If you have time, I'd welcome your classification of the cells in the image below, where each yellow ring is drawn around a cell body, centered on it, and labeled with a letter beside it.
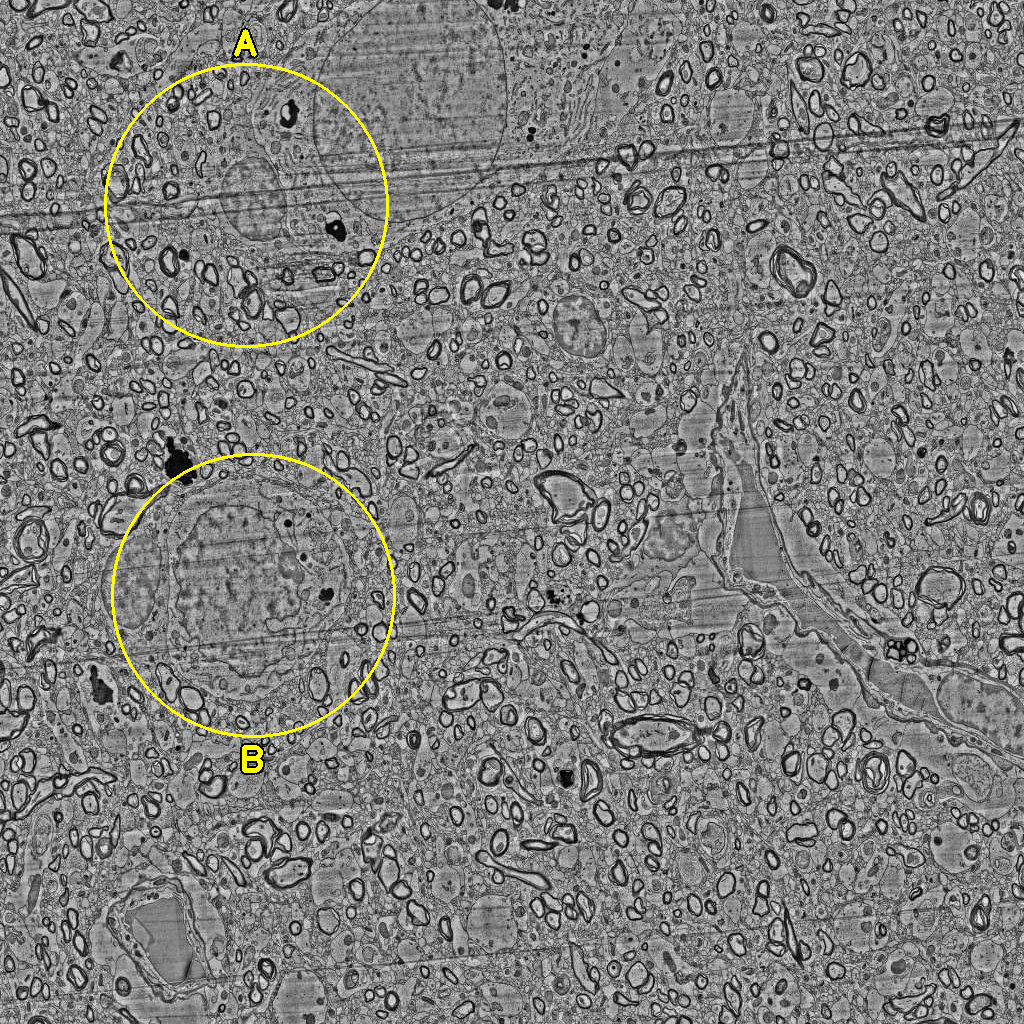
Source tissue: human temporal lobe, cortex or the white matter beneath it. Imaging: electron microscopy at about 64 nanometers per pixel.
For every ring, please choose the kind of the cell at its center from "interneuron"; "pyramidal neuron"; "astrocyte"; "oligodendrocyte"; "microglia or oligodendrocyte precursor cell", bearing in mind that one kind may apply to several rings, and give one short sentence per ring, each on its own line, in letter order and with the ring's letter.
At the center of ring A is an oligodendrocyte.
At the center of ring B is an interneuron.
